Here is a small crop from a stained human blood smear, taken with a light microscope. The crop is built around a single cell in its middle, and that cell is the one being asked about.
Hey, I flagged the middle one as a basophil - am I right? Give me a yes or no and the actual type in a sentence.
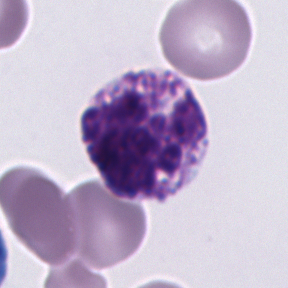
Yes, the cell shown at the crop's centre is a basophil.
